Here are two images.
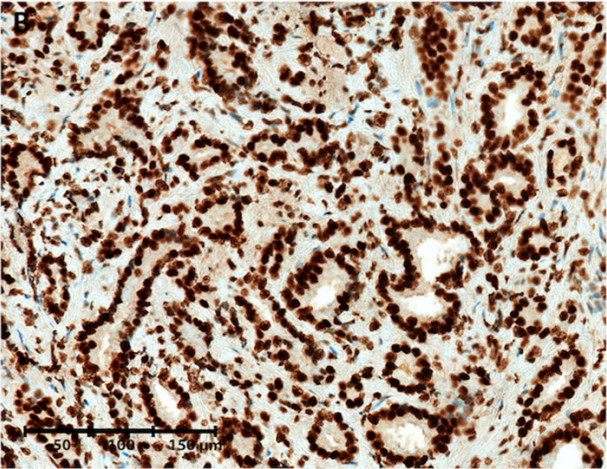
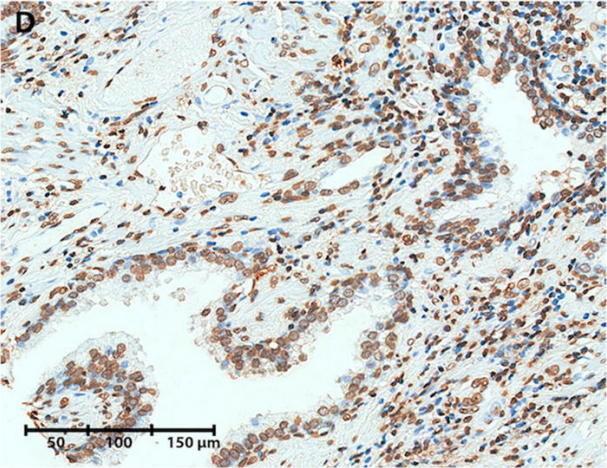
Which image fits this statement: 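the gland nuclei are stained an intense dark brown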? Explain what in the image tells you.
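The first image. Second image: the gland nuclei are pale to mid brown, and many stromal nuclei are blue. First image: nearly all the gland nuclei are a dense, almost black-brown.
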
